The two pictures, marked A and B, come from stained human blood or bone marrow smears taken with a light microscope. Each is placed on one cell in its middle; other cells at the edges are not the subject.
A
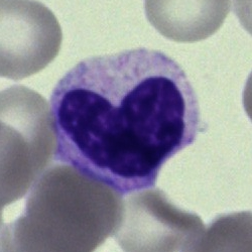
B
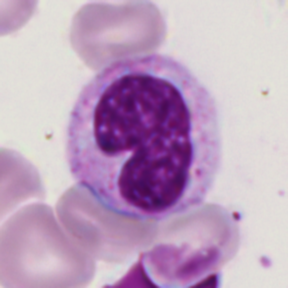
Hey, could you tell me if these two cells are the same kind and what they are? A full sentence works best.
No, crop A features a metamyelocyte, while crop B features a band neutrophil.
